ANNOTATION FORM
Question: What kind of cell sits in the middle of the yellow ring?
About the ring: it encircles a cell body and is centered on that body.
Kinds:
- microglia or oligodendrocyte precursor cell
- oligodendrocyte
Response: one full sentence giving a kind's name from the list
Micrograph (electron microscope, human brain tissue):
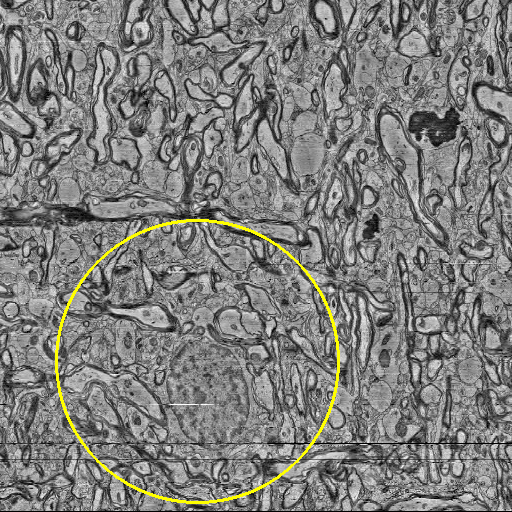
The kind of cell found at the center of the yellow ring in the micrograph is an oligodendrocyte.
